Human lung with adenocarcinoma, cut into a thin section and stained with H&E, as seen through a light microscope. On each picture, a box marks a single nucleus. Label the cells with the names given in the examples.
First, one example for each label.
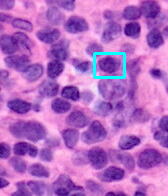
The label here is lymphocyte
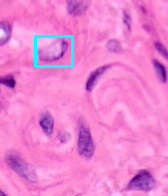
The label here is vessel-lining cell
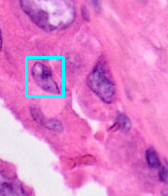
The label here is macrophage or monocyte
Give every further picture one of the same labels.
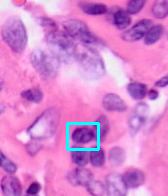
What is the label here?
lymphocyte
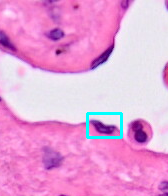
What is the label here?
vessel-lining cell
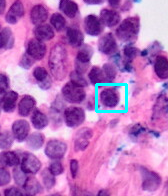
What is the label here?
lymphocyte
